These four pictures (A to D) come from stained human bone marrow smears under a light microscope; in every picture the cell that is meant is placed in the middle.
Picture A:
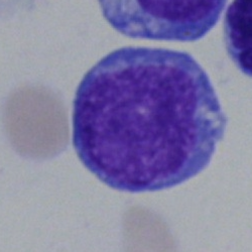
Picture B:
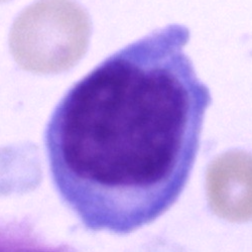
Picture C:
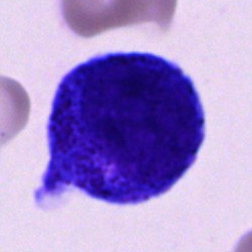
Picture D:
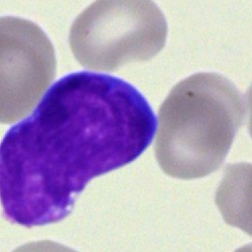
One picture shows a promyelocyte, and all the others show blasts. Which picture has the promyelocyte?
C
